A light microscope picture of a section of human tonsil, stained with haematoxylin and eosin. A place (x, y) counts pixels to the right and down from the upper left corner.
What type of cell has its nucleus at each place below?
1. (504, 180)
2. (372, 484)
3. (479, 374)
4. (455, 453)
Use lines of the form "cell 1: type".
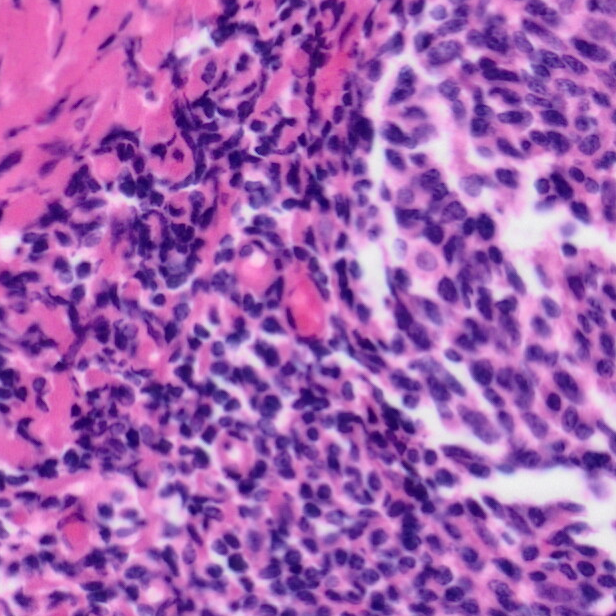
cell 1: proliferating B cell
cell 2: small lymphocyte
cell 3: proliferating B cell
cell 4: proliferating B cell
